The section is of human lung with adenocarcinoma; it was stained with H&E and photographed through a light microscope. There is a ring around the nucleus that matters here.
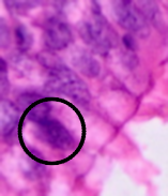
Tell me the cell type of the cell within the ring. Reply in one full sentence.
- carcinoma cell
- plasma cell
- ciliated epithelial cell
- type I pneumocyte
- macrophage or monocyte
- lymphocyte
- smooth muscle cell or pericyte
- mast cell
Just put down that the cell within the ring is a ciliated epithelial cell.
